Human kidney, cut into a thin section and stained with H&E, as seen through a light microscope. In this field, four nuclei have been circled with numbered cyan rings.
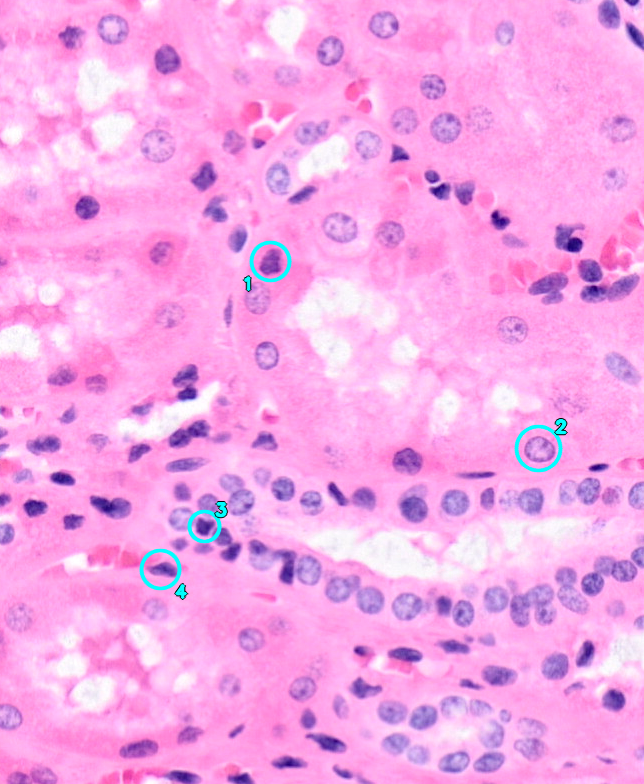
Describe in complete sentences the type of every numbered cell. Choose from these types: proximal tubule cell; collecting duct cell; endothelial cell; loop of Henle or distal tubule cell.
Cell 1 is a proximal tubule cell, cell 2 is a proximal tubule cell, cell 3 is a collecting duct cell and cell 4 is an endothelial cell.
